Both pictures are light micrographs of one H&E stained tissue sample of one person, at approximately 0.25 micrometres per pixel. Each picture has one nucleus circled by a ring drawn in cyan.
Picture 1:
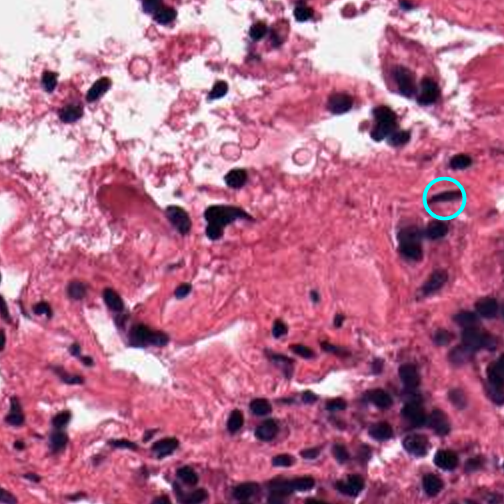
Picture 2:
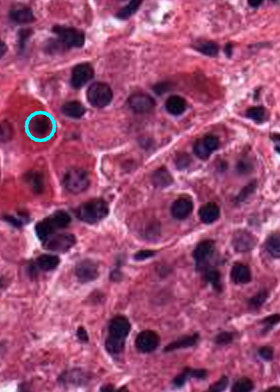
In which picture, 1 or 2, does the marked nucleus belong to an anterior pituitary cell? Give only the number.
2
